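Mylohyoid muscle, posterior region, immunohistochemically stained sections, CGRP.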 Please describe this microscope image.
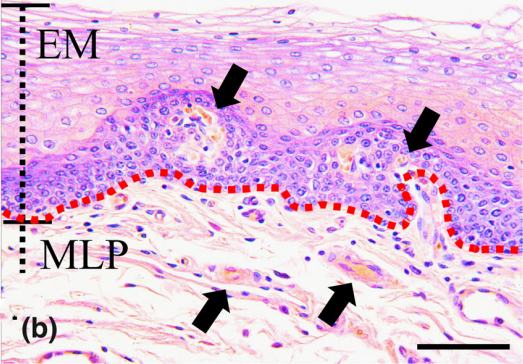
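This is the oral mucosa: a stratified squamous epithelium, purple-pink, lies above a looser connective tissue below, and a red dotted line follows the wavy boundary between them. The deepest epithelial layers have crowded, darker nuclei, while the cells flatten toward the surface at the top. Small brown-stained cells sit at the epithelial pegs near the boundary and among the spindle-shaped cells of the connective tissue below.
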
